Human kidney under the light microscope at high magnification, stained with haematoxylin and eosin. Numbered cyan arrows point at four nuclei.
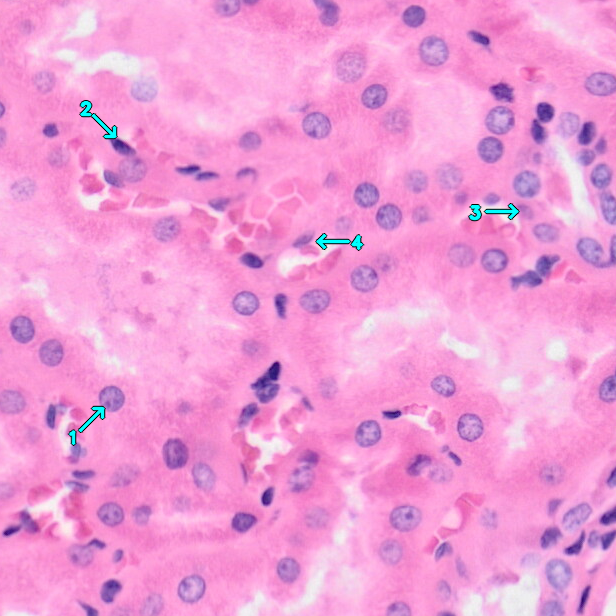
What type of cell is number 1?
proximal tubule cell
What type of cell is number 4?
endothelial cell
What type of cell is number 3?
collecting duct cell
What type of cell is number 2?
endothelial cell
